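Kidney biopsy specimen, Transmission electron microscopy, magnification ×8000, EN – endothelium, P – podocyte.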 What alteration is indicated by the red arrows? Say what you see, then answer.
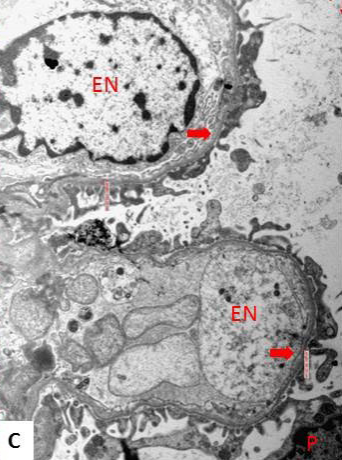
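Thin glomerular basement membrane. The band is thin and even along its length.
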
